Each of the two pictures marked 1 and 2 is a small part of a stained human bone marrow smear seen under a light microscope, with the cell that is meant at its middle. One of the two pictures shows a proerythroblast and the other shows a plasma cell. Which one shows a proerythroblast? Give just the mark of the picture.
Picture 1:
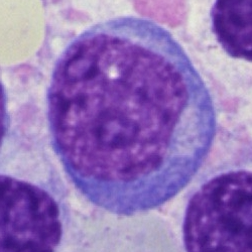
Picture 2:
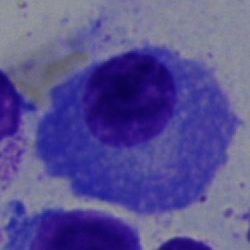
1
